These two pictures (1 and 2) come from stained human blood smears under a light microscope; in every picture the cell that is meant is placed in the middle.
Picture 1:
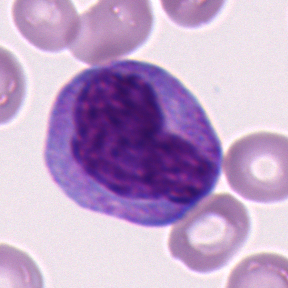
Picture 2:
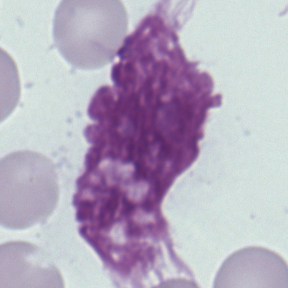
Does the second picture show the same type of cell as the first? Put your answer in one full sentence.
No, they differ: the cell is an atypical promyelocyte in picture 1 and a smudge cell in picture 2.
